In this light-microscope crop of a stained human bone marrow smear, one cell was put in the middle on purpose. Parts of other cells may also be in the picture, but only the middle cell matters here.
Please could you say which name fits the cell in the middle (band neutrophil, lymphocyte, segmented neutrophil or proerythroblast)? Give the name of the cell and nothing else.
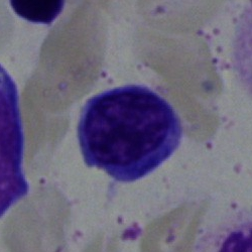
lymphocyte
